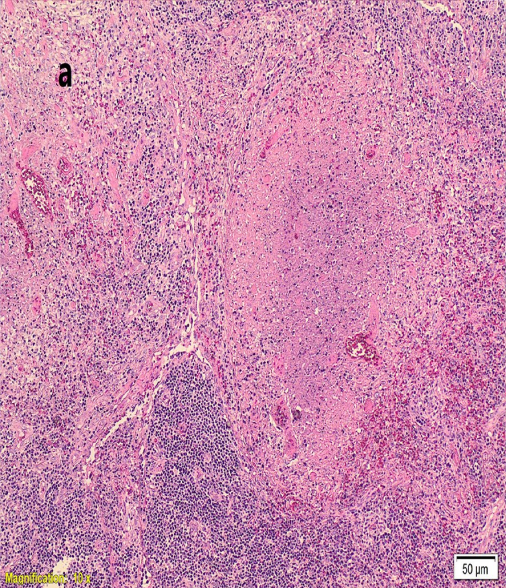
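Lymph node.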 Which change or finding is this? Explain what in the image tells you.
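A large pale pink central zone lacks the dense blue nuclei of the surrounding lymphoid tissue. Scattered small dark nuclear fragments lie within the pale pink zone. A dense dark-blue cluster of small lymphocytes borders the pale area at the lower left. That points to this answer: confluent necrosis.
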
